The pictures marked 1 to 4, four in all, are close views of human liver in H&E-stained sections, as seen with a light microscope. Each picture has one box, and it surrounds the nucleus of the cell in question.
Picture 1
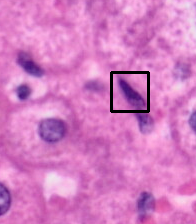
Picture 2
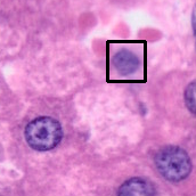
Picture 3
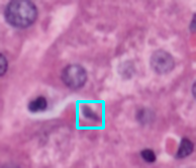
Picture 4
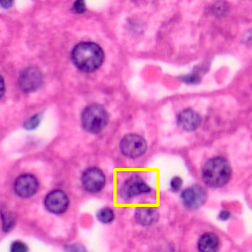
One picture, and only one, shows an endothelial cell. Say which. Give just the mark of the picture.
3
